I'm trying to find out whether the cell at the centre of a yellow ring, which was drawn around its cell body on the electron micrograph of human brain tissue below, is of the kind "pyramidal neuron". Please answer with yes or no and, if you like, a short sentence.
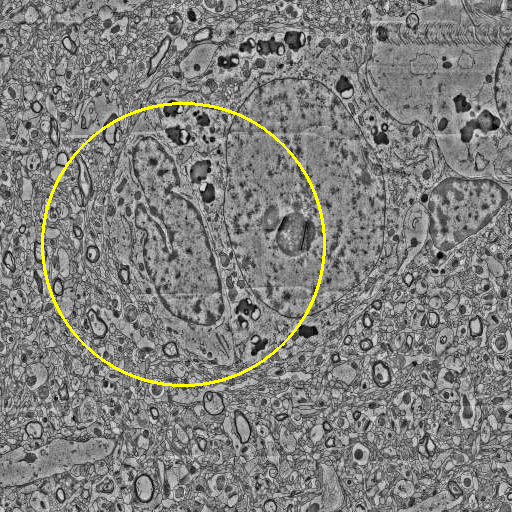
No, that cell is of another kind.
